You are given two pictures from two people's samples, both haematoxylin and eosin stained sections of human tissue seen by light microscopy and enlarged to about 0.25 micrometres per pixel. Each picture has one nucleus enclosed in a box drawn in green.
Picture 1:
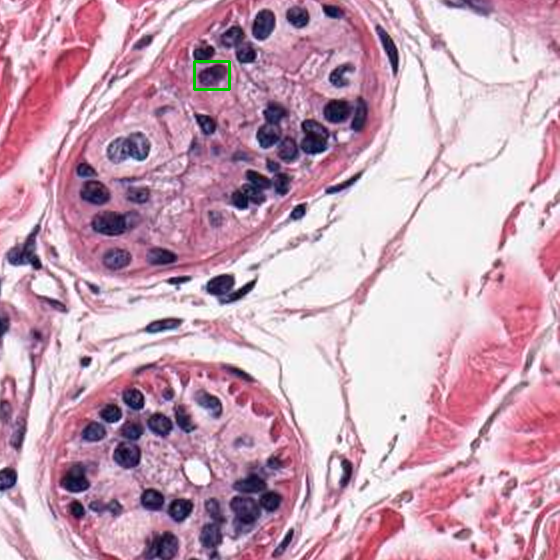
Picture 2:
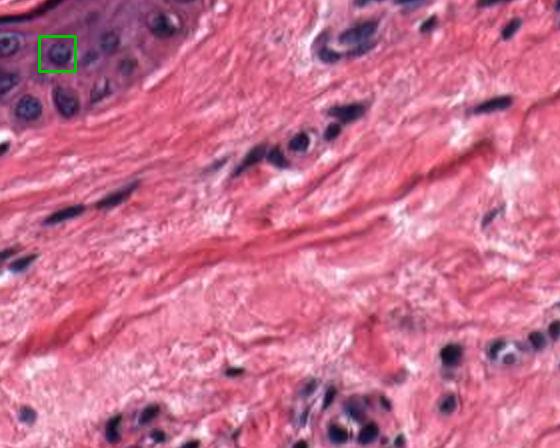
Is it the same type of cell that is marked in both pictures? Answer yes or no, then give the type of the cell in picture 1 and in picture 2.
No, the first is a sweat gland cell and the second a keratinocyte.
